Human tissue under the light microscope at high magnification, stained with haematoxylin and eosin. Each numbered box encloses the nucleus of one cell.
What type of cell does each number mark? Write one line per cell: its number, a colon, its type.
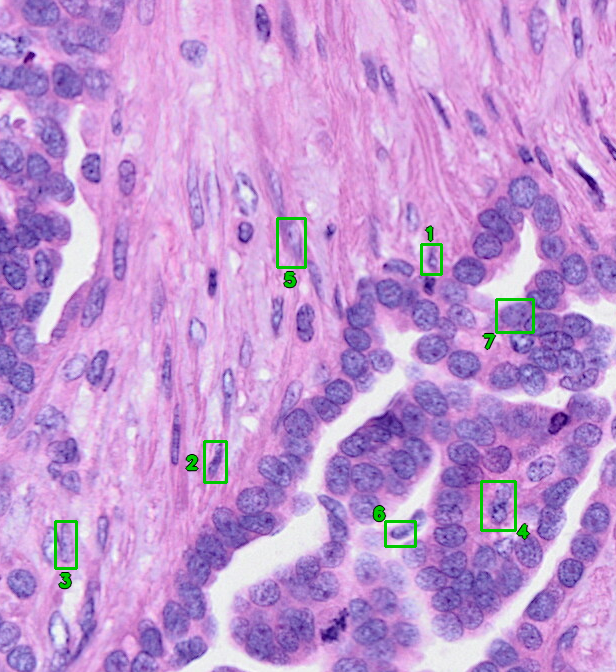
1: fibroblast
2: fibroblast
3: fibroblast
4: macrophage or monocyte
5: fibroblast
6: macrophage or monocyte
7: carcinoma cell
